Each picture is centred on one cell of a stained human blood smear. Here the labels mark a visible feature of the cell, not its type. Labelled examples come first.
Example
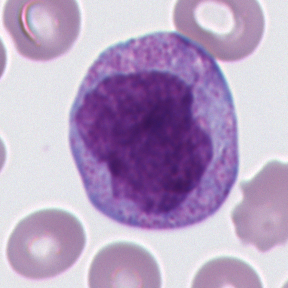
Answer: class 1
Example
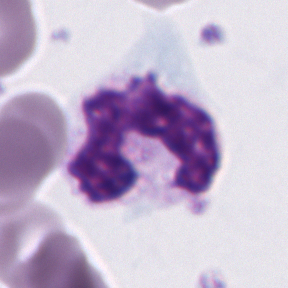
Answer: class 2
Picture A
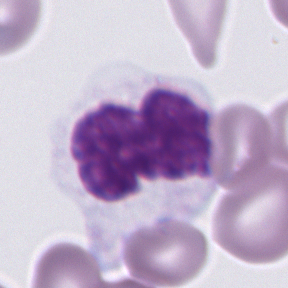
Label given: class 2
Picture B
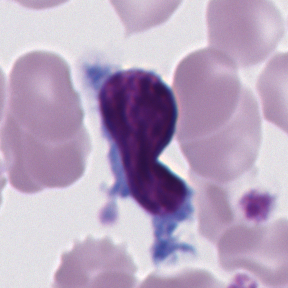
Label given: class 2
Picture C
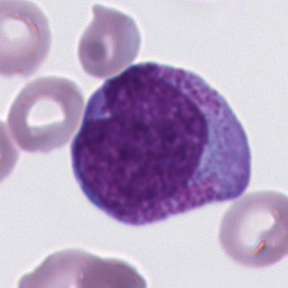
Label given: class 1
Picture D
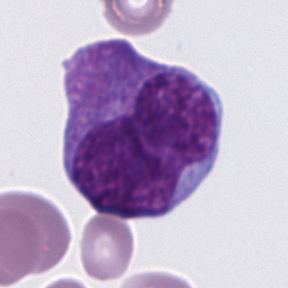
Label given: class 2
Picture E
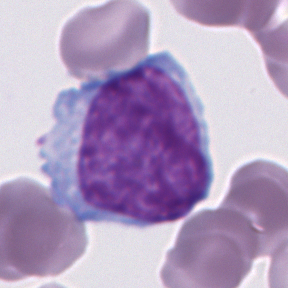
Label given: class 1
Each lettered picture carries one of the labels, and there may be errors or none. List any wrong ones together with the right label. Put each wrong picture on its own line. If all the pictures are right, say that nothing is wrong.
E is labelled class 1; correct label: class 2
